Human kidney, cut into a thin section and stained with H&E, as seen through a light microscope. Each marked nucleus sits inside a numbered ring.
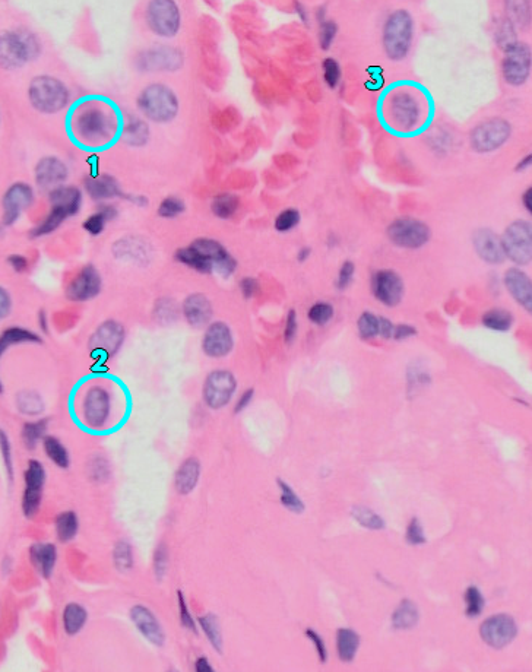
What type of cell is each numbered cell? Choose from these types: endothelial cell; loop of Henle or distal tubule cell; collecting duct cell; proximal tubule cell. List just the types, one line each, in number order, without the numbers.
collecting duct cell
loop of Henle or distal tubule cell
collecting duct cell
